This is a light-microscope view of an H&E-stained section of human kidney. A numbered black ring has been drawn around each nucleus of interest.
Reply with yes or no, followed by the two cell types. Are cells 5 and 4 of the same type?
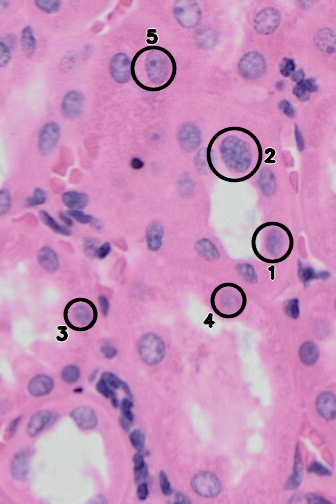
Yes, both cells, 5 and 4, are proximal tubule cells.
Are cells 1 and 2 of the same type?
Yes, the two numbered cells, 1 and 2, are both loop of Henle or distal tubule cells.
